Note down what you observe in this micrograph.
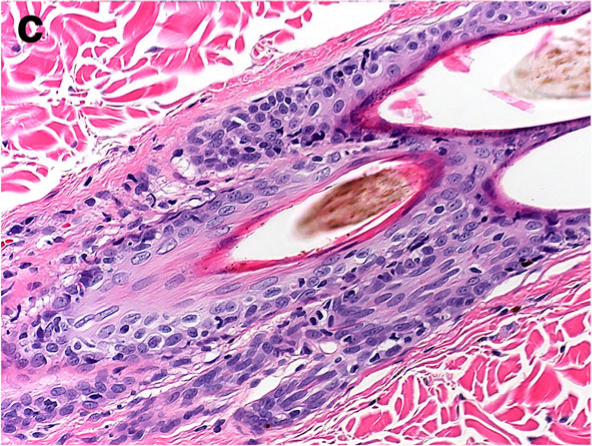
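Hair follicle epithelium forms thick walls around open lumens that hold pink keratin and brownish material, set in pink dermal collagen. Small round dark lymphocytes infiltrate the follicle wall and gather along its outer border, blurring the boundary with the surrounding dermis. This is lymphocytic interface and mural folliculitis.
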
